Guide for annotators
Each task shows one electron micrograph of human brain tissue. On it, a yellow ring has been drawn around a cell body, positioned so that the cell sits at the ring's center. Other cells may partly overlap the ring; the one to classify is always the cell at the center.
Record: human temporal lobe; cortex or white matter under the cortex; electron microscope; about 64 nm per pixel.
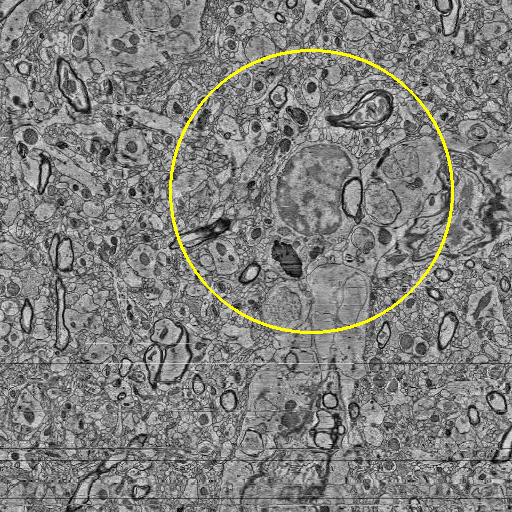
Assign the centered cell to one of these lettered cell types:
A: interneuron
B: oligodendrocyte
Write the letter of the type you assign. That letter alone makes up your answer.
B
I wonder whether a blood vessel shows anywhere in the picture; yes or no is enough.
Yes, one shows.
